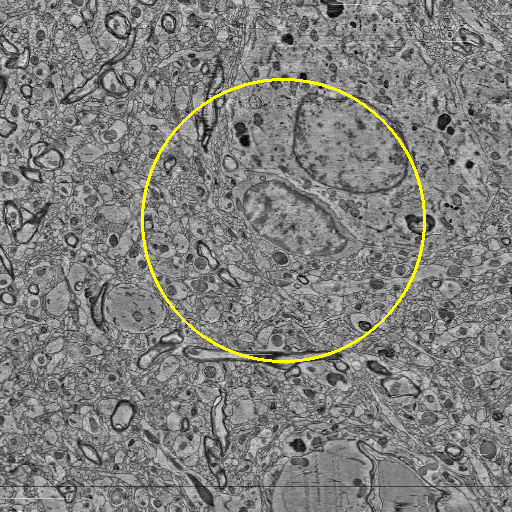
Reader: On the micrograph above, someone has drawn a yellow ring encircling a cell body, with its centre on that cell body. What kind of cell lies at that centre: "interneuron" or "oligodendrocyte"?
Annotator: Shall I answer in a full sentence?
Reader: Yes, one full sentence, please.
Here an oligodendrocyte sits at the centre of the yellow ring drawn on the micrograph.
